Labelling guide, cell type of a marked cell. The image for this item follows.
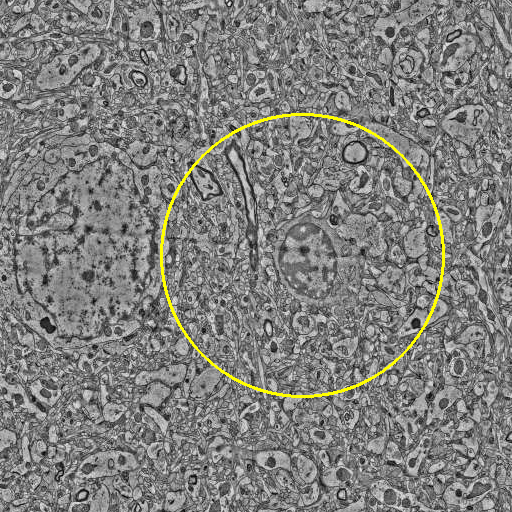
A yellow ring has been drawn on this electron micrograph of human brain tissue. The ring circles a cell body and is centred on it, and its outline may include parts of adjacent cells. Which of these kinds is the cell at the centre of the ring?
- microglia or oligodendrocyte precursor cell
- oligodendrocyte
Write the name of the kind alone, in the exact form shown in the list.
oligodendrocyte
